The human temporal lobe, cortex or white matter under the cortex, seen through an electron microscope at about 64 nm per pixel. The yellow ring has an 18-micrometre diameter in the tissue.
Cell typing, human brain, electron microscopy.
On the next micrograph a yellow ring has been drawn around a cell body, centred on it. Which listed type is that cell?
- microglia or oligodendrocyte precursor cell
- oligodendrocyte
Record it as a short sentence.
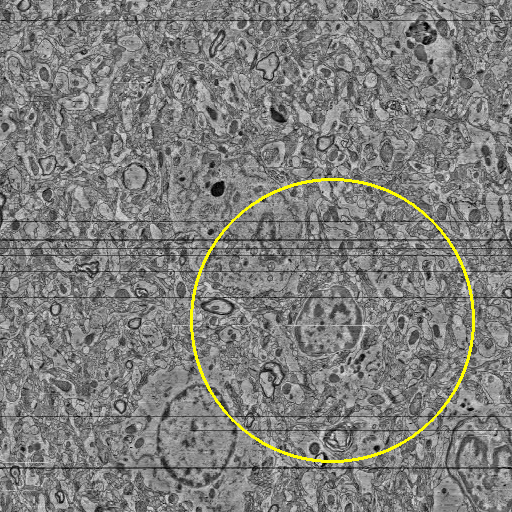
The cell body in the ring's centre belongs to a microglial cell or oligodendrocyte precursor cell.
